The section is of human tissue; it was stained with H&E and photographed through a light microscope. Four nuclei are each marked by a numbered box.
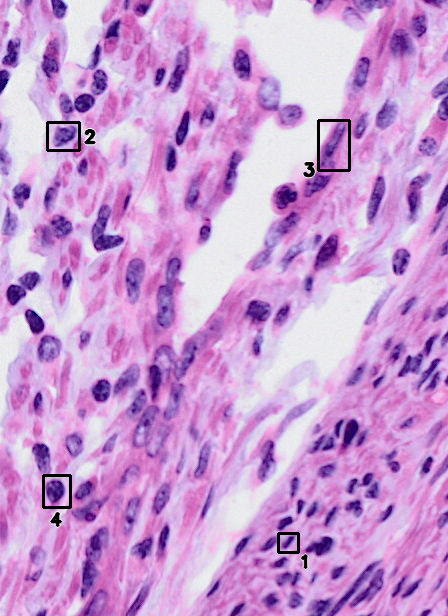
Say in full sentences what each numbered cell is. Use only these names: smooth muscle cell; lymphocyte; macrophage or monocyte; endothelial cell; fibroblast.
Cell 1 is a fibroblast, cell 2 is a lymphocyte, cell 3 is an endothelial cell and cell 4 is a lymphocyte.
